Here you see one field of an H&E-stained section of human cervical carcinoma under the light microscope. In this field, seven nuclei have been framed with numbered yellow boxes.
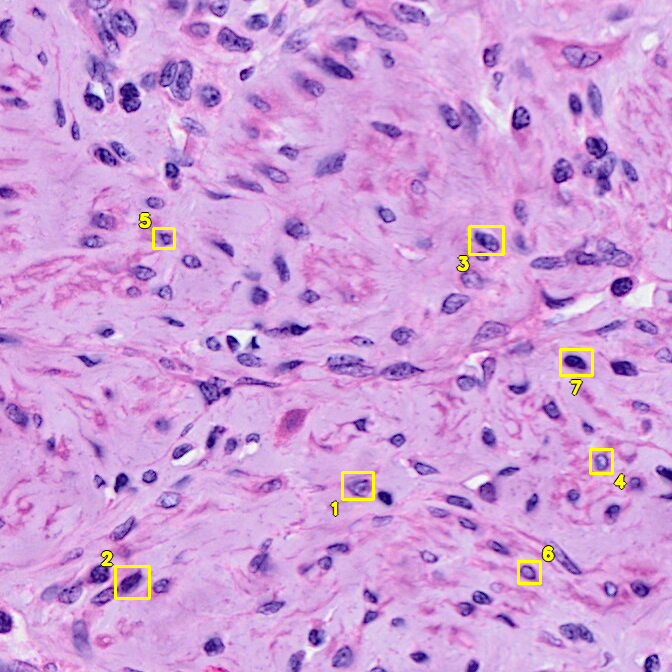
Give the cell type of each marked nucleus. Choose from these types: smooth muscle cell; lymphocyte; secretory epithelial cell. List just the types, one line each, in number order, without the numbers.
smooth muscle cell
lymphocyte
lymphocyte
smooth muscle cell
smooth muscle cell
smooth muscle cell
lymphocyte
